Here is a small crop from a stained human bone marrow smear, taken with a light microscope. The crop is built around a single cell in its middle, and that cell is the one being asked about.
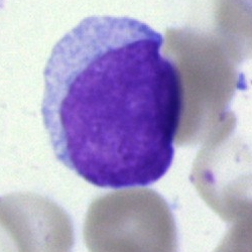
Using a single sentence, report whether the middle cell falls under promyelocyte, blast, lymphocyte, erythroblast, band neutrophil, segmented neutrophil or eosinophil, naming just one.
The middle cell in this particular crop is a blast.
